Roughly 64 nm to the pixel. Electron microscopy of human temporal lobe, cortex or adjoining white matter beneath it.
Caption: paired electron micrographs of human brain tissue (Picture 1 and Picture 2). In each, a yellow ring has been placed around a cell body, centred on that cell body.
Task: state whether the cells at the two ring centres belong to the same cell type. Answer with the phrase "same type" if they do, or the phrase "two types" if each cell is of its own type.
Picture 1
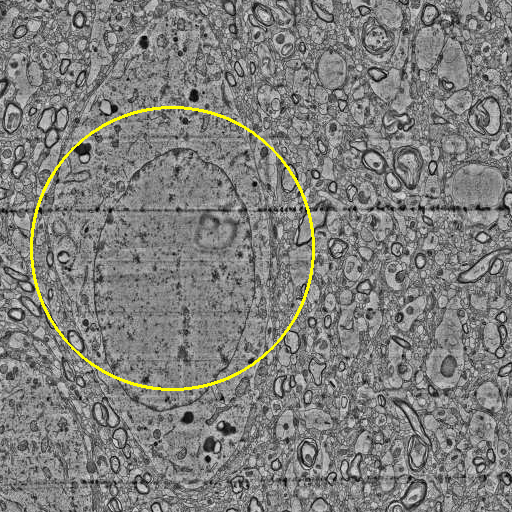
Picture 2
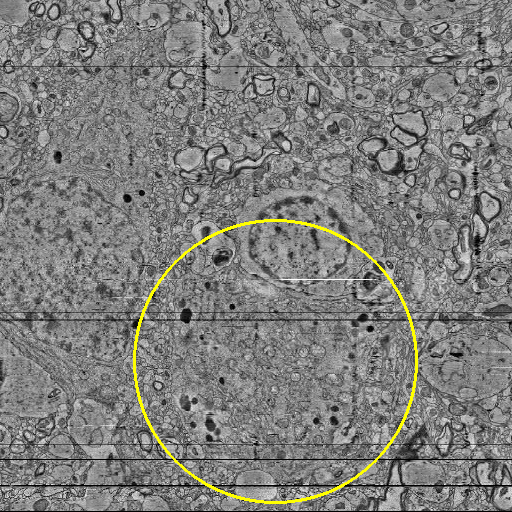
same type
